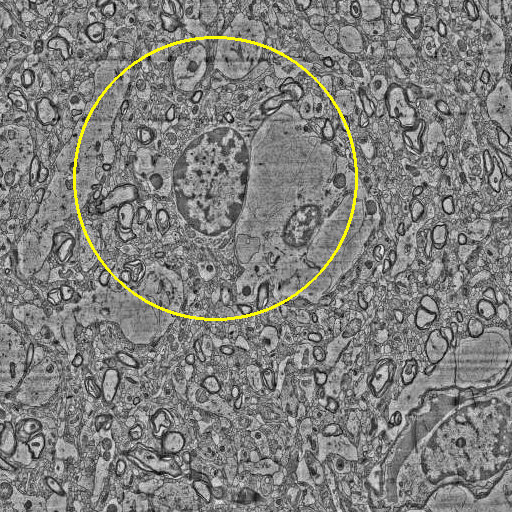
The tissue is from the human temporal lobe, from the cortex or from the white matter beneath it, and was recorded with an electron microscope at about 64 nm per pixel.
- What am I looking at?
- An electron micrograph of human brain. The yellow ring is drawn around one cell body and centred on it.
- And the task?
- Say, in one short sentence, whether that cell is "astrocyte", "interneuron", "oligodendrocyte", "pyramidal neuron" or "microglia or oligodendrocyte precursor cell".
The cell in the middle of the ring is a microglial cell or oligodendrocyte precursor cell.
